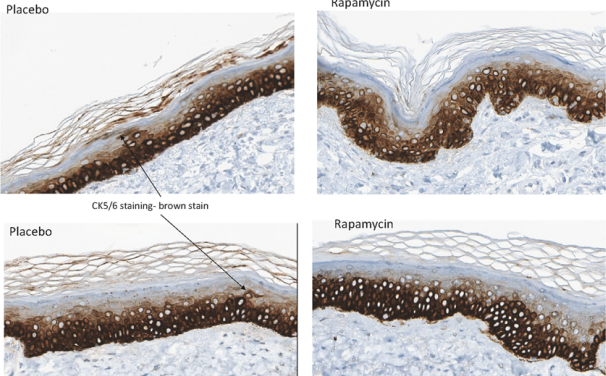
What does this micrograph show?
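Four sections of skin show the epidermis as a stratified layer of tightly packed keratinocytes resting on a loose, pale blue-stained dermis with scattered small nuclei. The brown stain fills the cytoplasm of the lower and middle living layers, with the nuclei left pale and round within the stained cells. Above the brown zone lies a thin pale blue band of flattened cells, and above that a loose, basket-weave layer of anucleate cornified cells. In one image the epidermis dips down into the dermis as a fold, and in some images faint brown staining extends into the flattened upper layers.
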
